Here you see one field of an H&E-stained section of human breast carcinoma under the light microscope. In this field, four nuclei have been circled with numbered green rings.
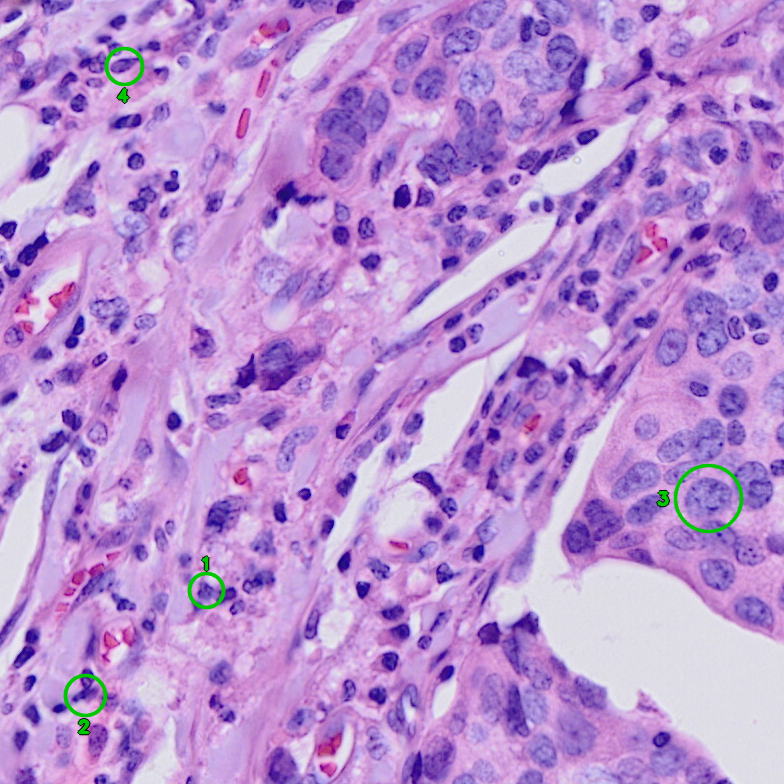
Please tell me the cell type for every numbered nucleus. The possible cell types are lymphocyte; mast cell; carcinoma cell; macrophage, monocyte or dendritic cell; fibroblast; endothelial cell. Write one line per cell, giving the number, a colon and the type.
1: lymphocyte
2: lymphocyte
3: carcinoma cell
4: lymphocyte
